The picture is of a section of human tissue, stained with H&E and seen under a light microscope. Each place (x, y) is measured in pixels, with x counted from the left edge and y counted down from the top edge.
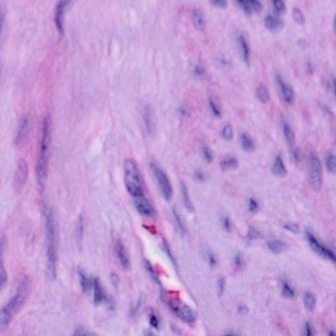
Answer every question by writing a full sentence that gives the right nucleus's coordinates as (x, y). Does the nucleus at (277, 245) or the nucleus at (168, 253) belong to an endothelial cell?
Of the two nuclei present, the one at (168, 253) is within an endothelial cell.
